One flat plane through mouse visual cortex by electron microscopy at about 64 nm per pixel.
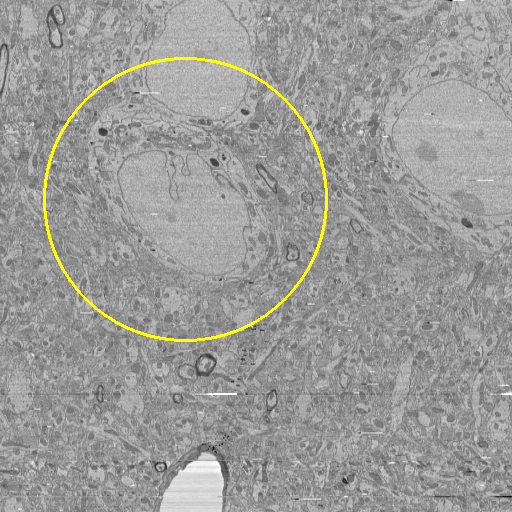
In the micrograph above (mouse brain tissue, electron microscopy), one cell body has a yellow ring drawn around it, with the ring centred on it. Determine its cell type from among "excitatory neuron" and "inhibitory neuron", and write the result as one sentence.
The cell whose body is ringed is an inhibitory neuron.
